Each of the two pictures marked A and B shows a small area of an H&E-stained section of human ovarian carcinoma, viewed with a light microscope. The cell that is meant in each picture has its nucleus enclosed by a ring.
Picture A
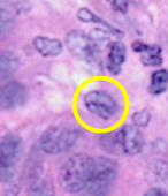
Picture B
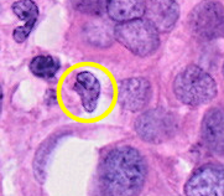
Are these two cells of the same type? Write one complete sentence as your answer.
Yes, both are “macrophages or monocytes”.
